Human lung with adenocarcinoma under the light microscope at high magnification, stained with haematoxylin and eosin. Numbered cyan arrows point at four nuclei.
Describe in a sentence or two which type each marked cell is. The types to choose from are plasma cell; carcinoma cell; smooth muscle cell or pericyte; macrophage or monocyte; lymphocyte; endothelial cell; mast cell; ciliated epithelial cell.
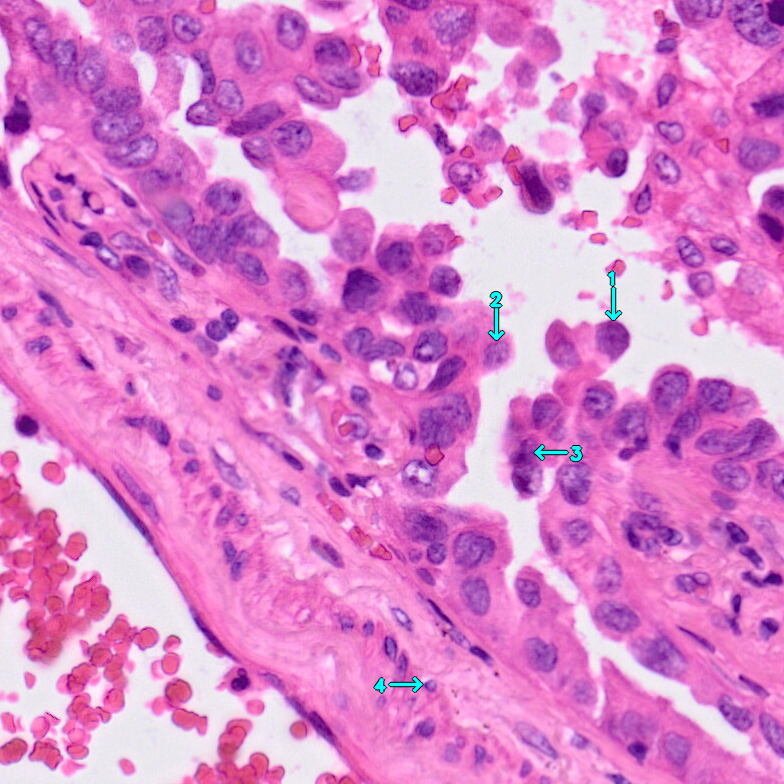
Cell 1 is a carcinoma cell, cell 2 is a carcinoma cell, cell 3 is a carcinoma cell and cell 4 is a smooth muscle cell or pericyte.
